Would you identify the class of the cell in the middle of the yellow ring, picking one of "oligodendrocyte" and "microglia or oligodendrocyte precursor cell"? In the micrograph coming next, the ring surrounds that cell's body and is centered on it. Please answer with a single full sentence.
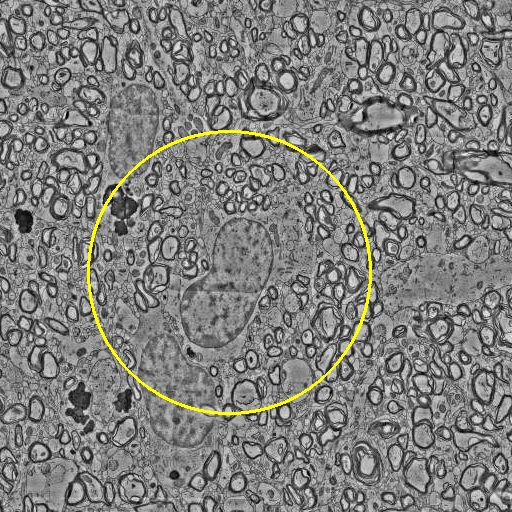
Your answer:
In the micrograph, it is a microglial cell or oligodendrocyte precursor cell whose body lies at the ring's center.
